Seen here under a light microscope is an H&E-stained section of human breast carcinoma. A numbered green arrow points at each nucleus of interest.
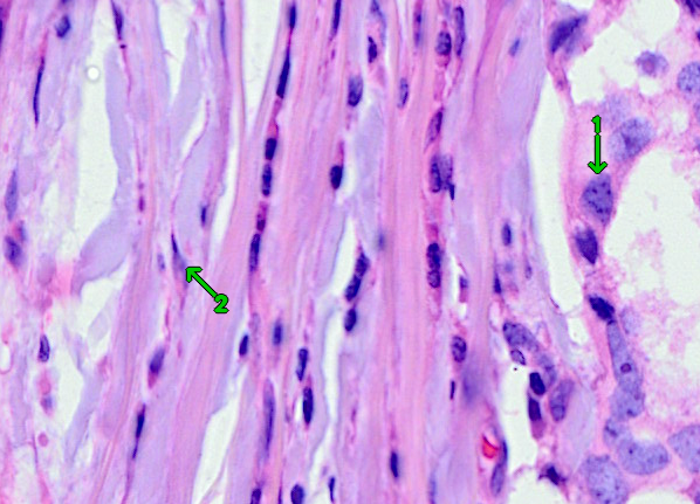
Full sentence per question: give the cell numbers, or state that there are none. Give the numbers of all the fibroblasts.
Cell 2 is a fibroblast; the remaining numbered cells are not.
